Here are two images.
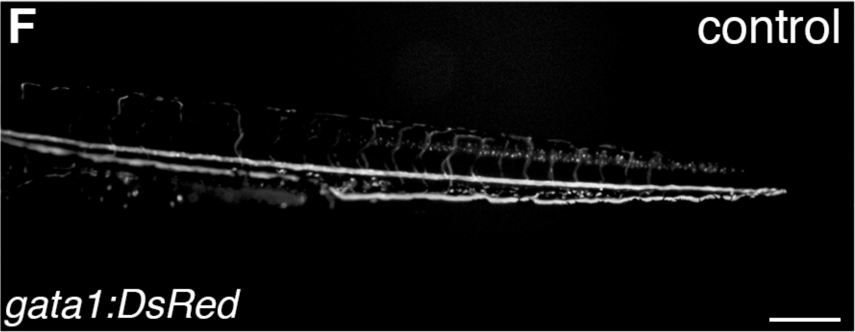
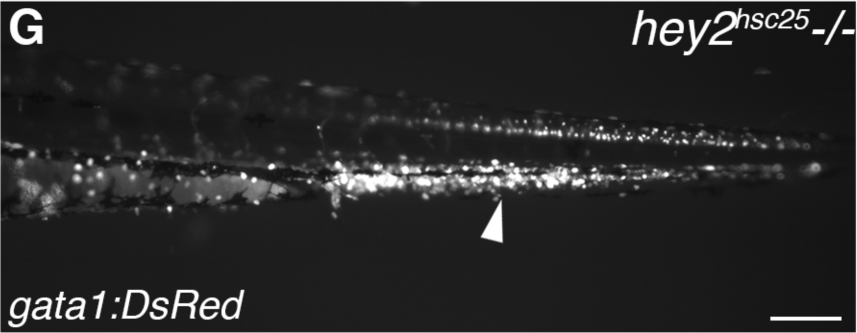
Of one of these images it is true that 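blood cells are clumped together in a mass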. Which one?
The second image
